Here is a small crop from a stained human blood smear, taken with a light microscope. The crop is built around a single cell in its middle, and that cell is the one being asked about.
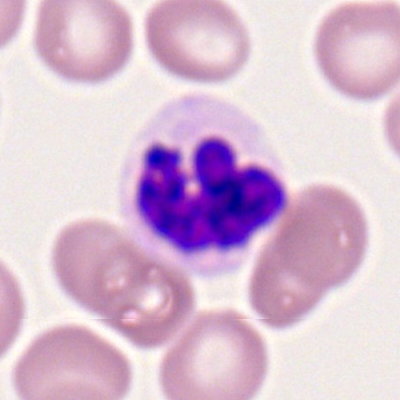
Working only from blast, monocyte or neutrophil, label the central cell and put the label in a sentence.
By type, the central cell of the crop is a neutrophil.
